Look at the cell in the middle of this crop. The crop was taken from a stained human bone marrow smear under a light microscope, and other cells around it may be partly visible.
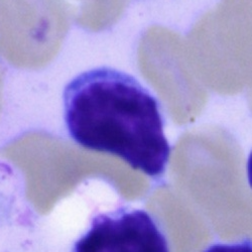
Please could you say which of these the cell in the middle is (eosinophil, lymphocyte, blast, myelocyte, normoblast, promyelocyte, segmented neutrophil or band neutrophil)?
lymphocyte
